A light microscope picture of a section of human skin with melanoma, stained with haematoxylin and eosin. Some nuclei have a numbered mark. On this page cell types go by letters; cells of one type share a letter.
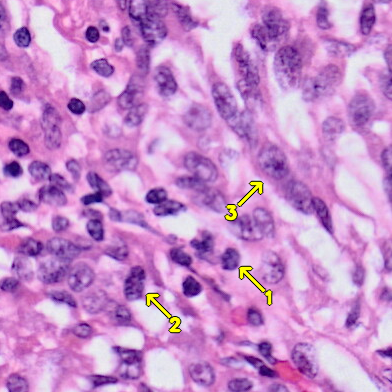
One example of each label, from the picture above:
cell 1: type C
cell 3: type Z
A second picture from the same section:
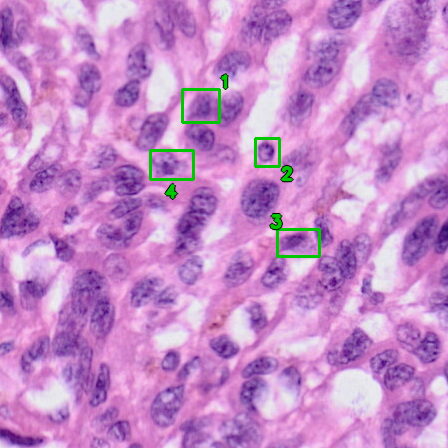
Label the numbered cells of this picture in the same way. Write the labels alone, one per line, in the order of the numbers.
type Z
type C
type Z
type Z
